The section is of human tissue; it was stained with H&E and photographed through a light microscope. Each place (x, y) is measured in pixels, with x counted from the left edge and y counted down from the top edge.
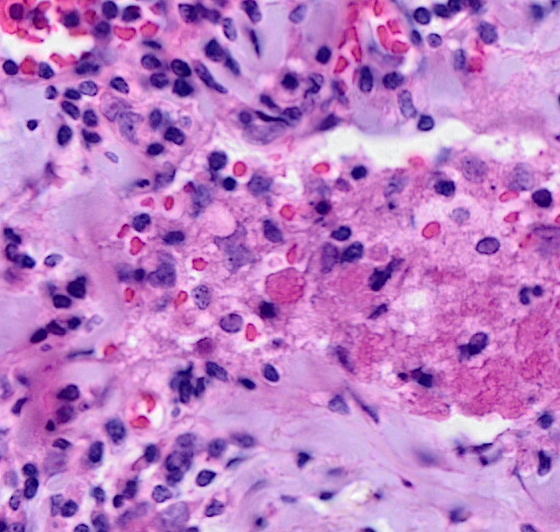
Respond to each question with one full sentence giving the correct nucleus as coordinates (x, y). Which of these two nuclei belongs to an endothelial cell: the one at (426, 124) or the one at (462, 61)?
The nucleus that sits at (462, 61) is the nucleus of an endothelial cell.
